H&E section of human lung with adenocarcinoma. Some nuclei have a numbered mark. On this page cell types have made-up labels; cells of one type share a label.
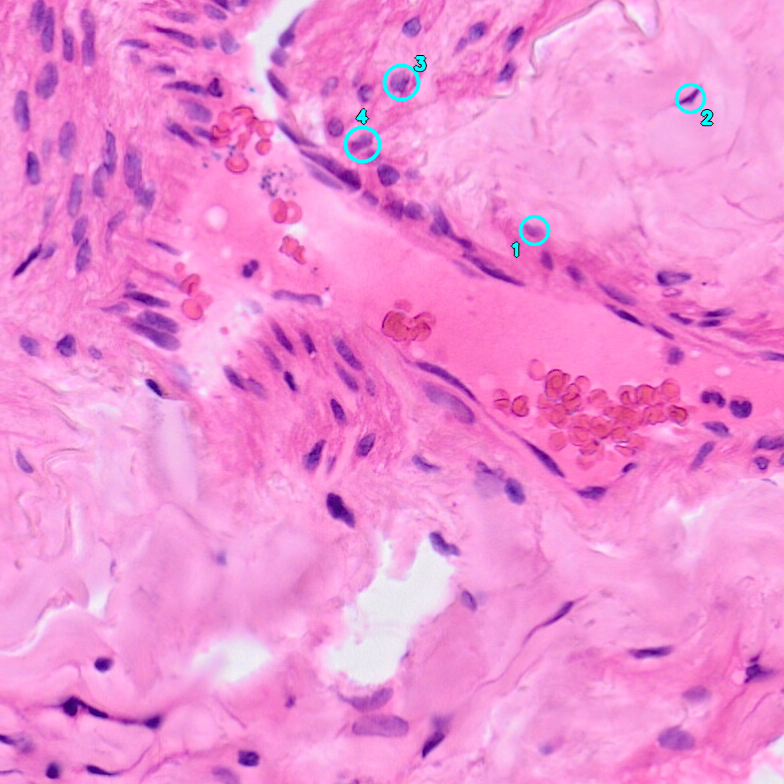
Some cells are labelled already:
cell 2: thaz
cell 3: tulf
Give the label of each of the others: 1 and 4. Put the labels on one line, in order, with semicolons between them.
tulf; tulf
